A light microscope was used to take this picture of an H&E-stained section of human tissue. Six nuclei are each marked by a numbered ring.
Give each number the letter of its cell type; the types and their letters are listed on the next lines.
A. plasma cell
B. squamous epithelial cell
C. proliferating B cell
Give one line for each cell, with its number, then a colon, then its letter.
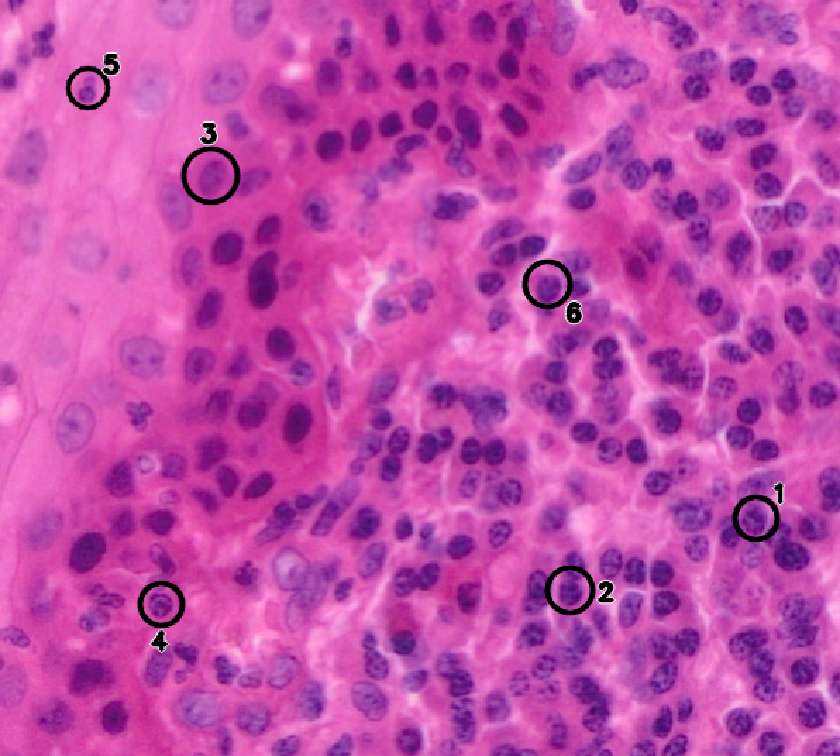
1: A
2: A
3: B
4: A
5: B
6: A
